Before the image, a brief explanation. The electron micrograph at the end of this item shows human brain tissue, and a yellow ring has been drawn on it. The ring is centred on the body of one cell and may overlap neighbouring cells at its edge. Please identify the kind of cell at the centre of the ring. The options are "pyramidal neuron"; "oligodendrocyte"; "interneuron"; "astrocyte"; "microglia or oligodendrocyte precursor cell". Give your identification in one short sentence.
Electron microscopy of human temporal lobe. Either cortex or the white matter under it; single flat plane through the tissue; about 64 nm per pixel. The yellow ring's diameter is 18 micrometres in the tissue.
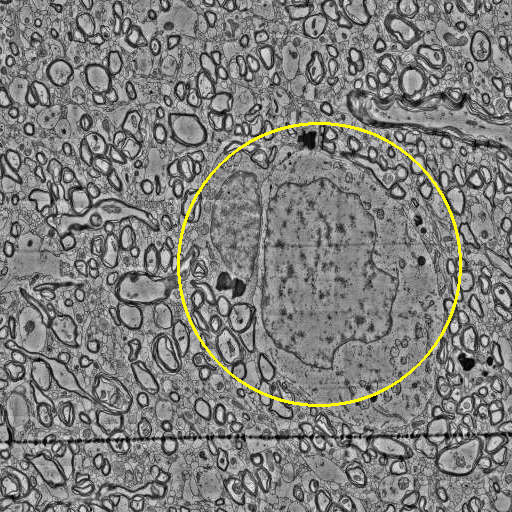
The ring has been placed around a pyramidal neuron.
